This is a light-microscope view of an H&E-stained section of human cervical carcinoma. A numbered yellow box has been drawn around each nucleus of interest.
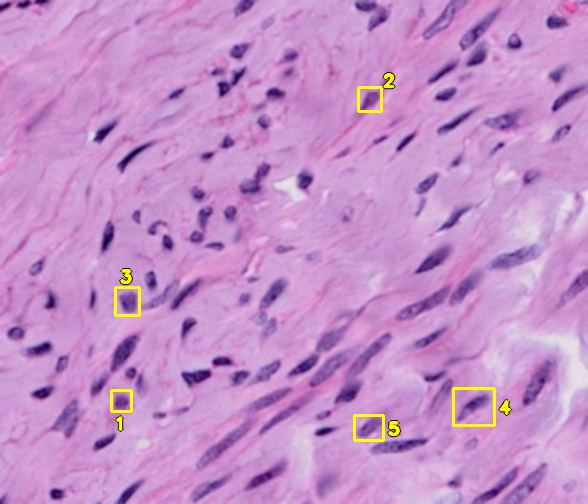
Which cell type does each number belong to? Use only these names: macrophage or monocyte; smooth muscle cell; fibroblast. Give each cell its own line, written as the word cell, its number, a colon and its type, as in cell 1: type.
cell 1: smooth muscle cell
cell 2: smooth muscle cell
cell 3: fibroblast
cell 4: fibroblast
cell 5: smooth muscle cell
